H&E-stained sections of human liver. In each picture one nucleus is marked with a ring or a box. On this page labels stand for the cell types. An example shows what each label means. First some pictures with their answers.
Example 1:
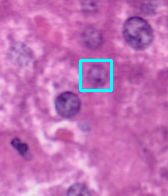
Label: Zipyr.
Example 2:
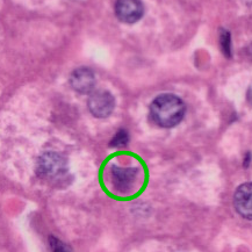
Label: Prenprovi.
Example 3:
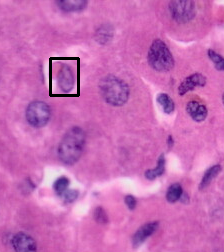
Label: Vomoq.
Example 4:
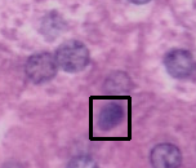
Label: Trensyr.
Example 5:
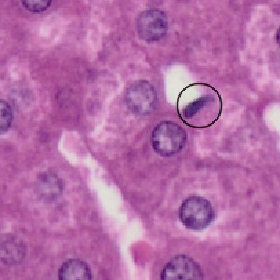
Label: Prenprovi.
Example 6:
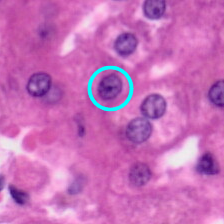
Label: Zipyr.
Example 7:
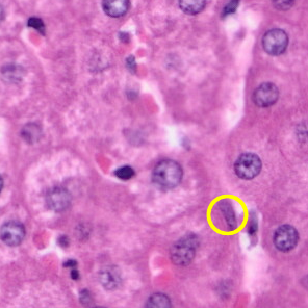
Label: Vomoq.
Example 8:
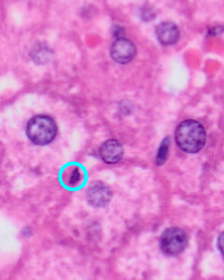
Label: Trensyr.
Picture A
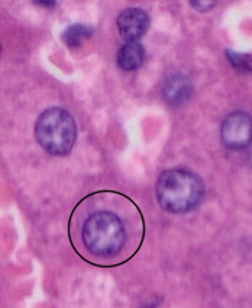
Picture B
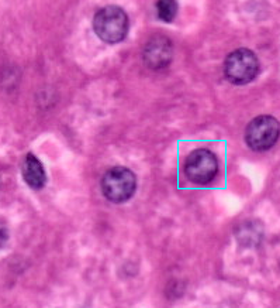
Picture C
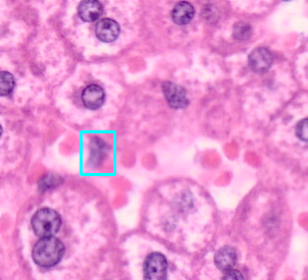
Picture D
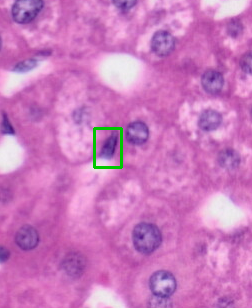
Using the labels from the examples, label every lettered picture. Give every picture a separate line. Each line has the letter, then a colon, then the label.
A: Zipyr.
B: Zipyr.
C: Prenprovi.
D: Trensyr.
